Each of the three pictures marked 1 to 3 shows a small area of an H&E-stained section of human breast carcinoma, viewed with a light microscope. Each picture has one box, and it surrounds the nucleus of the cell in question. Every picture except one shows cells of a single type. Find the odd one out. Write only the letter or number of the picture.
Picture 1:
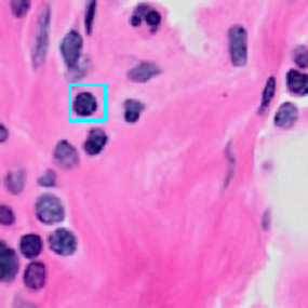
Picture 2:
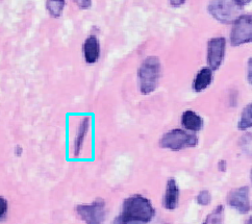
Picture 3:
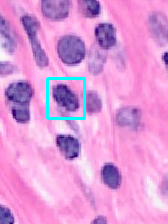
2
